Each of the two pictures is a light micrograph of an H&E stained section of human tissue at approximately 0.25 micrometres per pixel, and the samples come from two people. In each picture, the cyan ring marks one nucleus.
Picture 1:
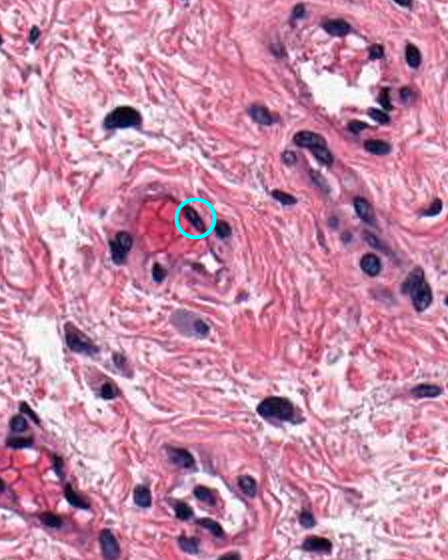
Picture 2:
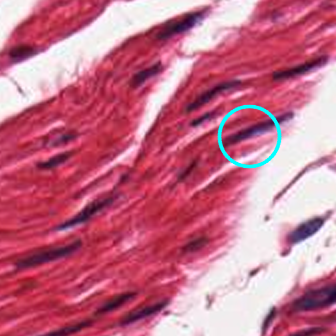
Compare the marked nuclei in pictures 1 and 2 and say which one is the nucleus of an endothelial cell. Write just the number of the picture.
1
